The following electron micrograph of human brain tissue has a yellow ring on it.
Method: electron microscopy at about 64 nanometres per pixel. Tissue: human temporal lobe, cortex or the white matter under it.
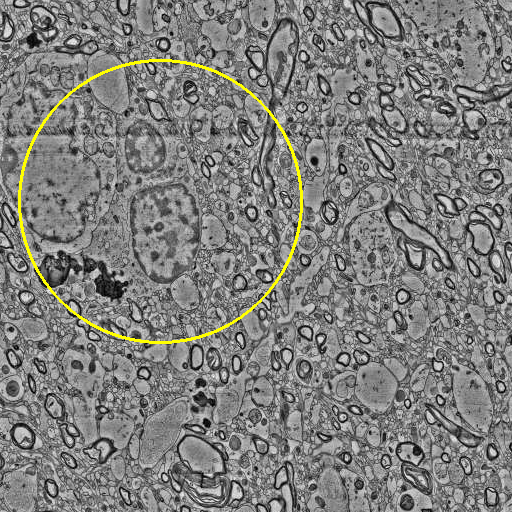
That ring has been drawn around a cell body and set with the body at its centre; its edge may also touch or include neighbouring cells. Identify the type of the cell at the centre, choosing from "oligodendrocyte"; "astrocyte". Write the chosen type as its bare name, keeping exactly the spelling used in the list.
oligodendrocyte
